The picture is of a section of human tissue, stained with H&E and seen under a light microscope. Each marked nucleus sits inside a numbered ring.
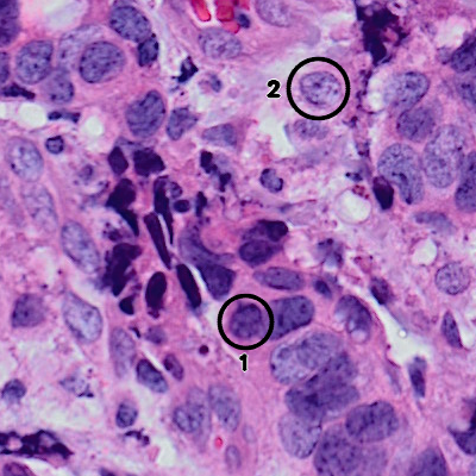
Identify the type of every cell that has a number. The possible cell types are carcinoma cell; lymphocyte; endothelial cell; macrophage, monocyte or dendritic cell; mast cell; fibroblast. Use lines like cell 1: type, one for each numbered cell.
cell 1: carcinoma cell
cell 2: macrophage, monocyte or dendritic cell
